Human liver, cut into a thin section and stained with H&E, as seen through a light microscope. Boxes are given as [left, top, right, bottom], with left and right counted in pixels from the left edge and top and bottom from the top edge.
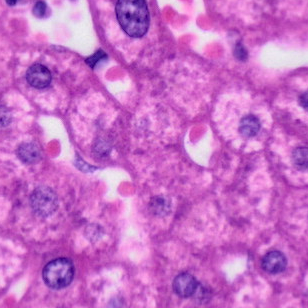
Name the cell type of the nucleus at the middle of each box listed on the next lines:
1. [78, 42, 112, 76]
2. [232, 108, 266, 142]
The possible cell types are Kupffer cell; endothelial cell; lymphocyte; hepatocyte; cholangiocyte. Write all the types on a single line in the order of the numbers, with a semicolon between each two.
endothelial cell; hepatocyte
